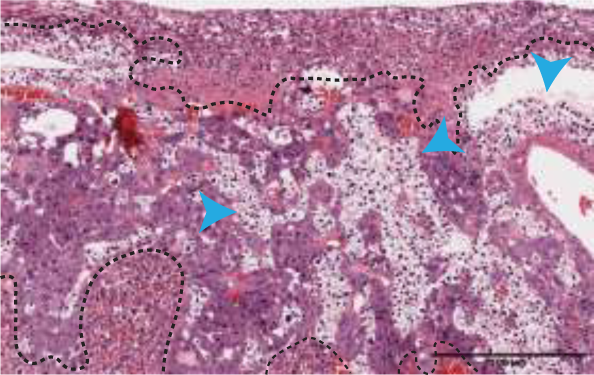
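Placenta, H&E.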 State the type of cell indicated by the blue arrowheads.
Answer: Glycogen cells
